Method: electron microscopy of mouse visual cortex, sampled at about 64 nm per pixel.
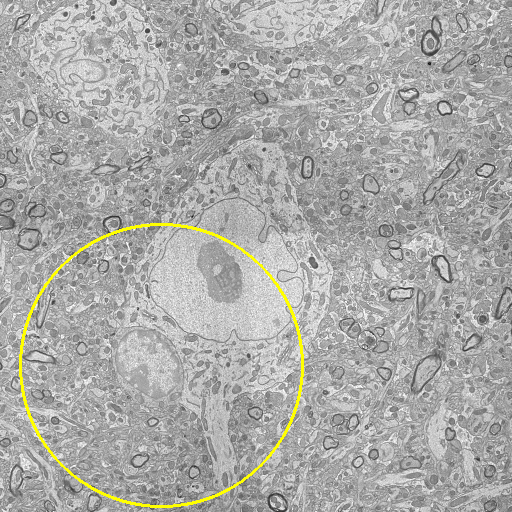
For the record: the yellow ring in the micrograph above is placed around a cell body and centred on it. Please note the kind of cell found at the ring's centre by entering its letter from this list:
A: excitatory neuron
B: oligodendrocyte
B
